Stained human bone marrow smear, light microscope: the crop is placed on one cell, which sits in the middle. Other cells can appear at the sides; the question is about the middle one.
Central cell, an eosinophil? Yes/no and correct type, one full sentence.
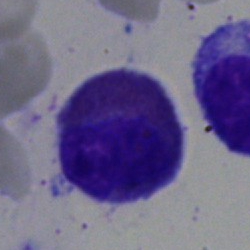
Yes, the cell at the middle of the field is to be classed as an eosinophil.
